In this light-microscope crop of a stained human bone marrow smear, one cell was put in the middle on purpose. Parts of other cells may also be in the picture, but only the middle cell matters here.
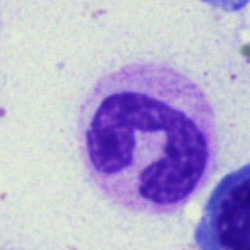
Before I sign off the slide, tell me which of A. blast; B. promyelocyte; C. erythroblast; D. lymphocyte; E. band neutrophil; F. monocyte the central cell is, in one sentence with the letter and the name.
The cell positioned centrally is a band neutrophil, as given in option E, which is correct.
